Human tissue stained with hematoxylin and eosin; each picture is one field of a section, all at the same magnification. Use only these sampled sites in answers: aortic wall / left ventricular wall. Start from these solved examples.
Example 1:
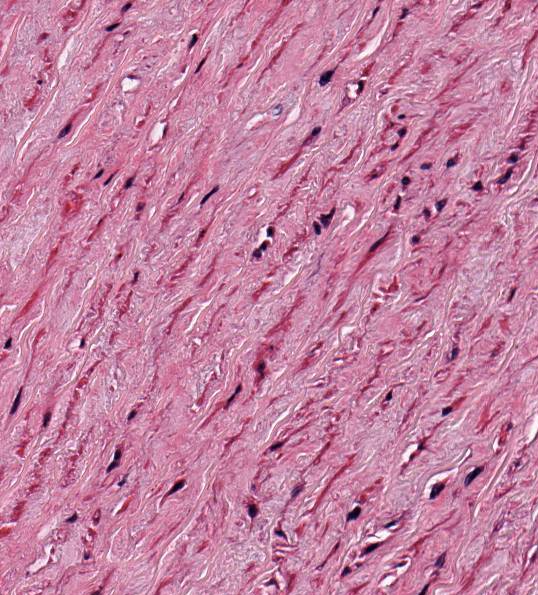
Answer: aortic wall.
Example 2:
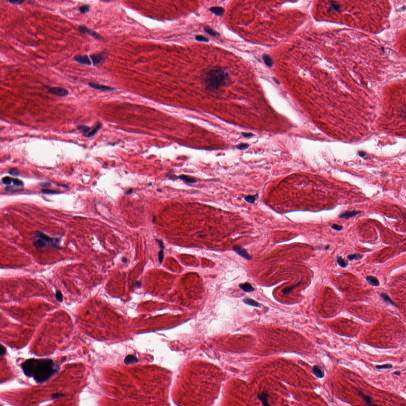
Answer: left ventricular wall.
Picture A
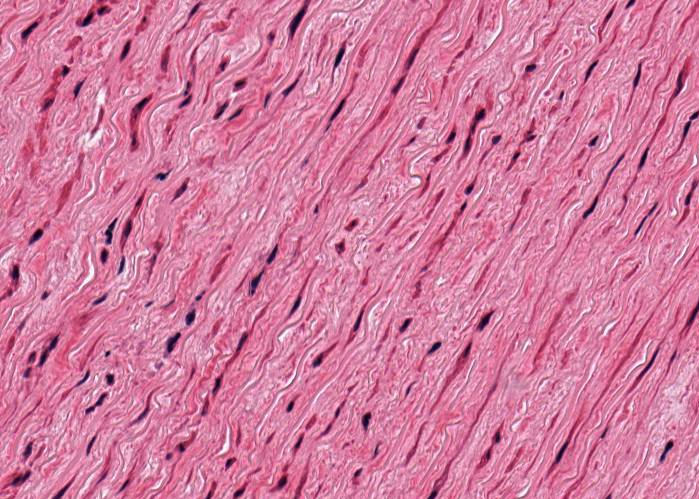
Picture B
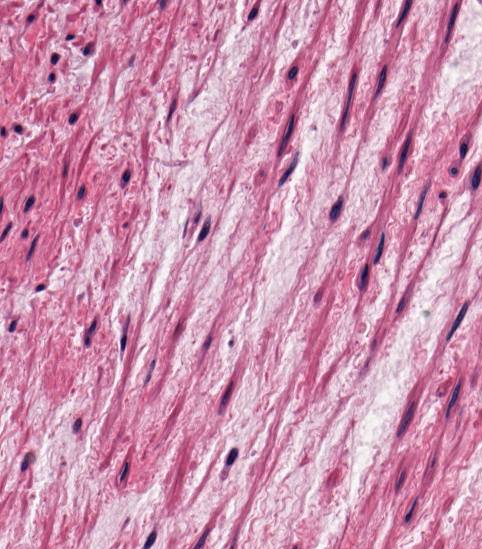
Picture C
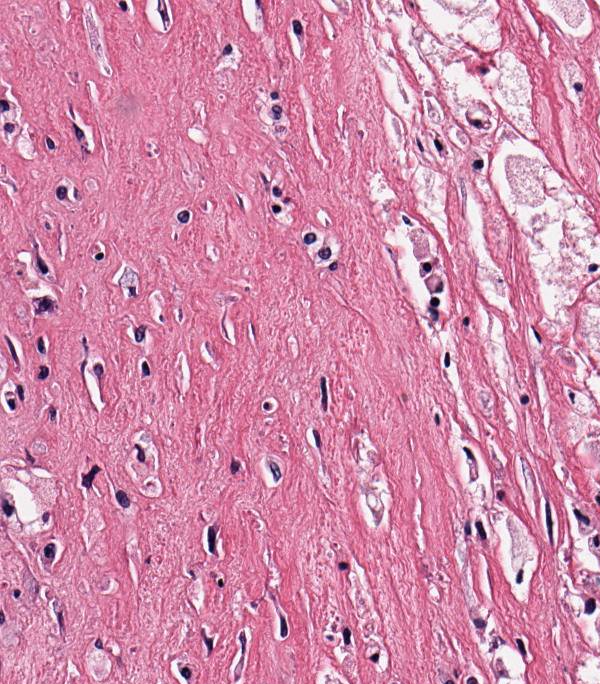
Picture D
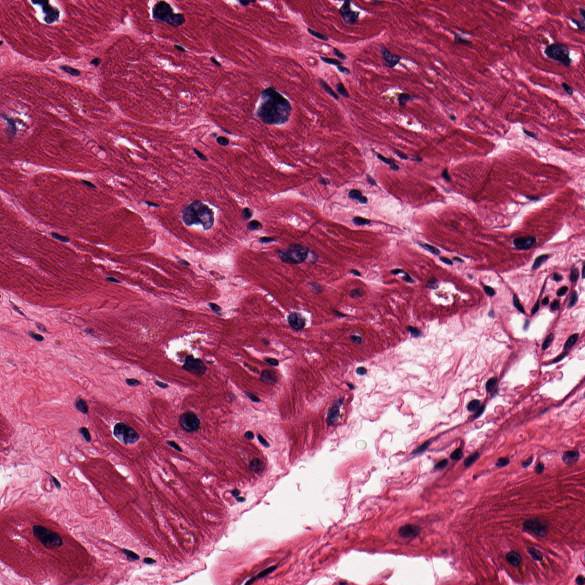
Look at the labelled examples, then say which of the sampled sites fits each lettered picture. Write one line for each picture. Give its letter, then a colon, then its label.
A: aortic wall.
B: aortic wall.
C: aortic wall.
D: left ventricular wall.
